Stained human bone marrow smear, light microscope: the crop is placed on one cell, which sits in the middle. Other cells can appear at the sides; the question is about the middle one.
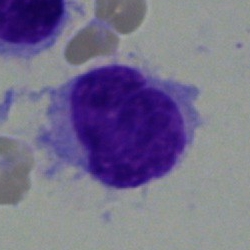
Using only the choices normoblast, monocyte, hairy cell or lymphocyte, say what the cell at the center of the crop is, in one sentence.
Positioned in the middle of the crop is a hairy cell.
